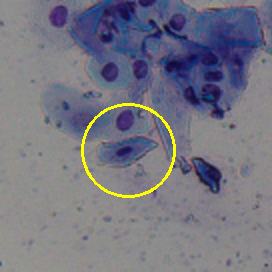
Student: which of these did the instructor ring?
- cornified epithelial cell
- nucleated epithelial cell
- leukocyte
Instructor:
The cell I ringed is a nucleated epithelial cell.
